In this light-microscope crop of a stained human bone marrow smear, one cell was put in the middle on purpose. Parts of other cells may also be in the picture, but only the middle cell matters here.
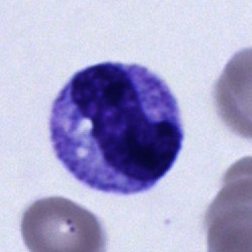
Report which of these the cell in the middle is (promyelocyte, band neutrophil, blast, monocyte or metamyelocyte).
band neutrophil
